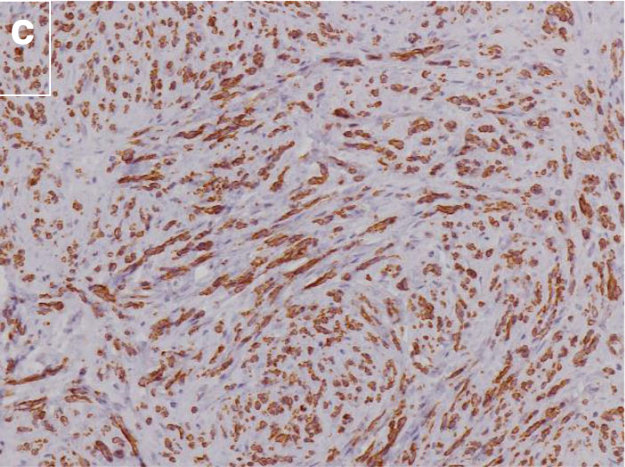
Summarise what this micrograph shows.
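Spindle-cell lesion with brown cytoplasmic staining in many elongated cells. Stained cells lie in interlacing fascicles, some cut lengthwise as long brown streaks and others cut across as small brown dots and ovals. Between stained cells lies paler, unstained stroma with scattered blue nuclei. The staining is cytoplasmic, not nuclear, and is spread fairly evenly across the field.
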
